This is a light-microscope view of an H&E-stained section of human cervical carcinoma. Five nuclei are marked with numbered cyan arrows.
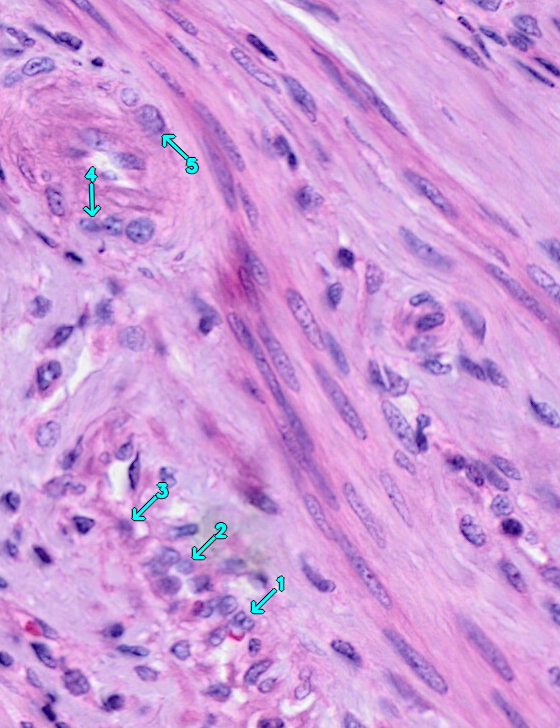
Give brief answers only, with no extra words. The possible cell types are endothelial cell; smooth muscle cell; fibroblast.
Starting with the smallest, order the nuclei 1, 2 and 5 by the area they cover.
2, 1, 5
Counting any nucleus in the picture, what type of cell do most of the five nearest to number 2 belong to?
endothelial cell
